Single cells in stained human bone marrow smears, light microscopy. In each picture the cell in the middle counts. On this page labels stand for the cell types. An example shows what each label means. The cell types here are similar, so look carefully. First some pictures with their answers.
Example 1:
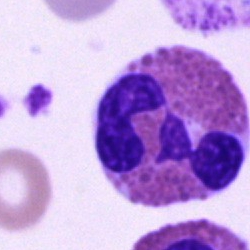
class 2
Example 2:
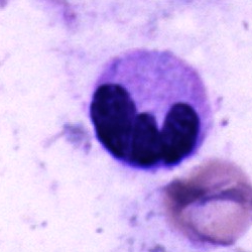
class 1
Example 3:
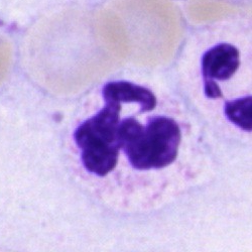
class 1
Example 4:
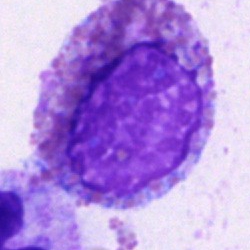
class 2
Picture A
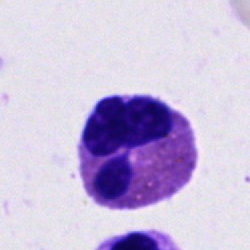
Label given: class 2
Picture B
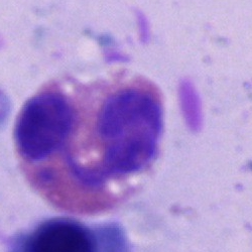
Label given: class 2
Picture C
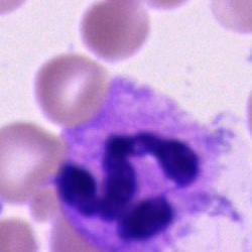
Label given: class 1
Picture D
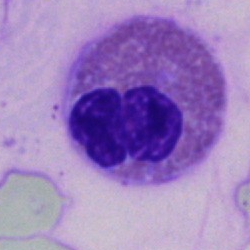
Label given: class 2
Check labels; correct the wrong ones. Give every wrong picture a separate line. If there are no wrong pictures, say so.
All labels are correct.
